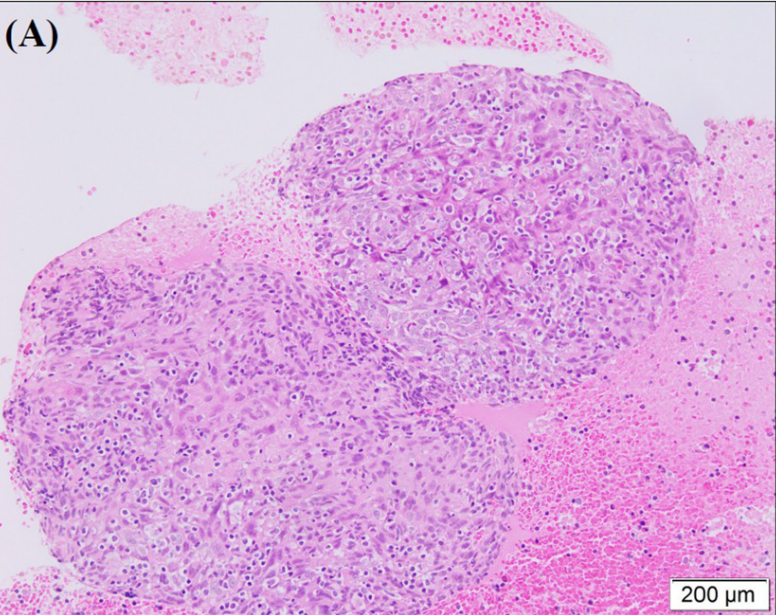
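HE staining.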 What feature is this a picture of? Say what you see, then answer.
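Nest-like structure. The cells are packed into large rounded clusters. The clusters have smooth borders against the surrounding blood.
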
